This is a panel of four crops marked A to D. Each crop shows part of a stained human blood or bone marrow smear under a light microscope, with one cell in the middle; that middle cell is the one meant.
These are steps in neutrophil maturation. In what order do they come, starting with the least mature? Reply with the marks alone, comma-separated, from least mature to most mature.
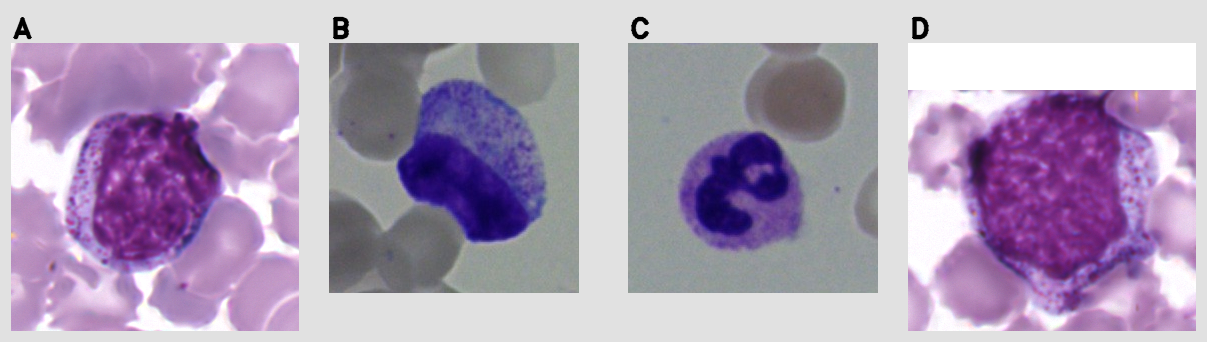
D, A, B, C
